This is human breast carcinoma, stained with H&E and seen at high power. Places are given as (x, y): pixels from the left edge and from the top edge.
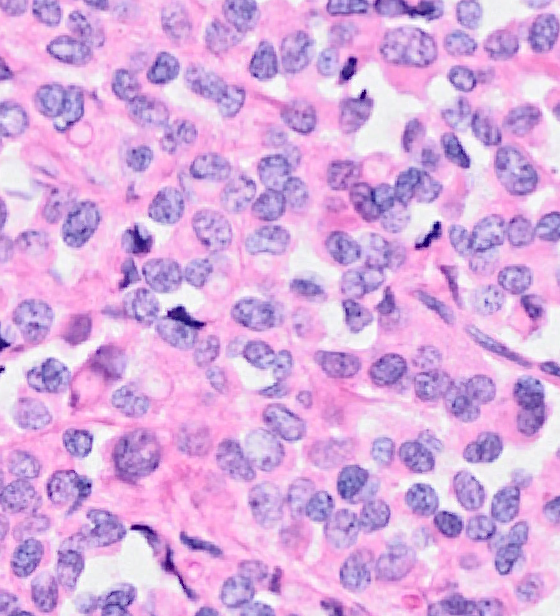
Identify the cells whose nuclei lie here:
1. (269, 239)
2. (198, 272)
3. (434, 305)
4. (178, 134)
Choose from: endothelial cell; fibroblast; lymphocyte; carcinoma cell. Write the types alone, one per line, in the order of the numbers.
carcinoma cell
carcinoma cell
endothelial cell
carcinoma cell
